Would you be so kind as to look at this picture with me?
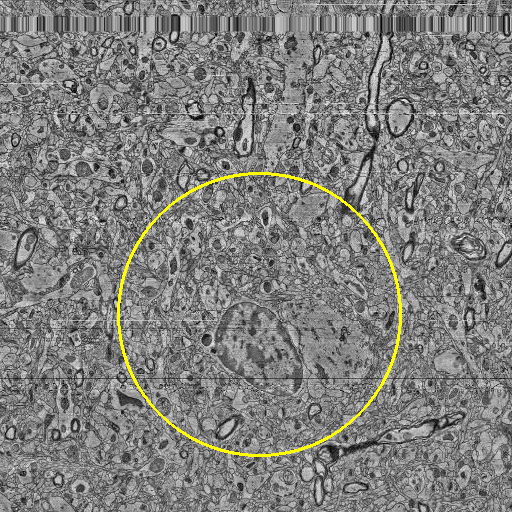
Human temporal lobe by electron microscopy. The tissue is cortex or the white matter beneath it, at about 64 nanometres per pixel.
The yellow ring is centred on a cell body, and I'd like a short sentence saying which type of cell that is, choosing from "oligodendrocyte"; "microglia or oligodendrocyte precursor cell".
The cell body in the ring belongs to a microglial cell or oligodendrocyte precursor cell.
